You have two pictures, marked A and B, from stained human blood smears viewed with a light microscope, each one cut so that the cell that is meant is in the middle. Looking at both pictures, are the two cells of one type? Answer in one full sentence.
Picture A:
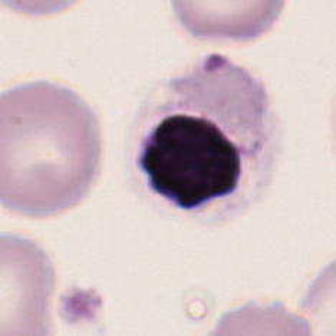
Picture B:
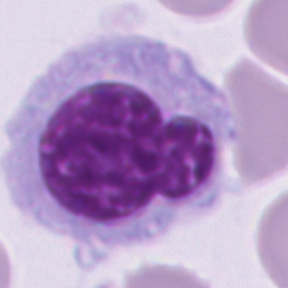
No, the types are not the same, since picture A shows a normoblast and picture B a plasma cell.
